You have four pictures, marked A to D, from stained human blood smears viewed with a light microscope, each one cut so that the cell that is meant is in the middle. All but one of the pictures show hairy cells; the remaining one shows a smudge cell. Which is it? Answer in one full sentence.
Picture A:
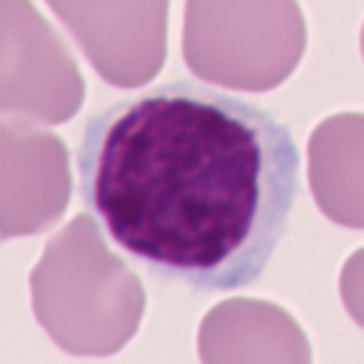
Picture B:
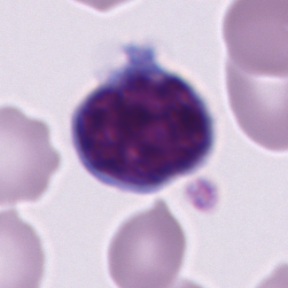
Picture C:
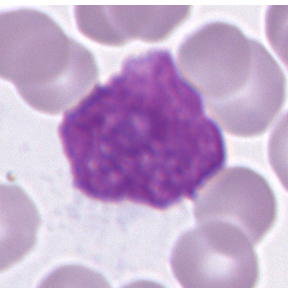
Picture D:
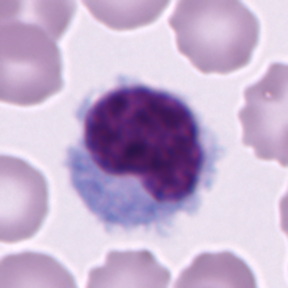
Picture C shows the smudge cell.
